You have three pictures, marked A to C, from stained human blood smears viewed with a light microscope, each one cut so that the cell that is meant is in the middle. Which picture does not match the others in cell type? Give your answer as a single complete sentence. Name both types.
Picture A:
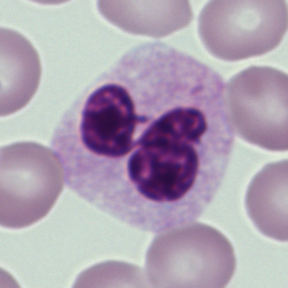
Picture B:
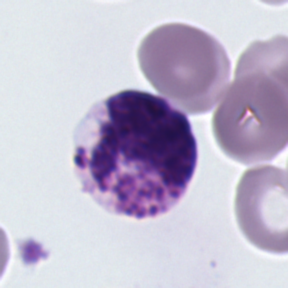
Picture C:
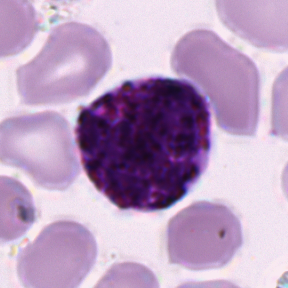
The different one is picture A; it shows a segmented neutrophil, whereas all the others show basophils.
